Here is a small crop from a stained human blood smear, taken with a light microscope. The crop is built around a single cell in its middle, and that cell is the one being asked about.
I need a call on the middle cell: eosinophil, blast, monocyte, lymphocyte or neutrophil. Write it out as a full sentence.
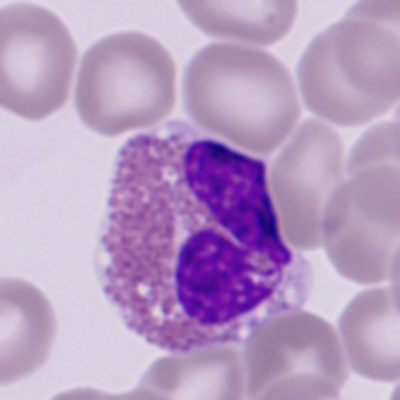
This crop is built around an eosinophil at its centre.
